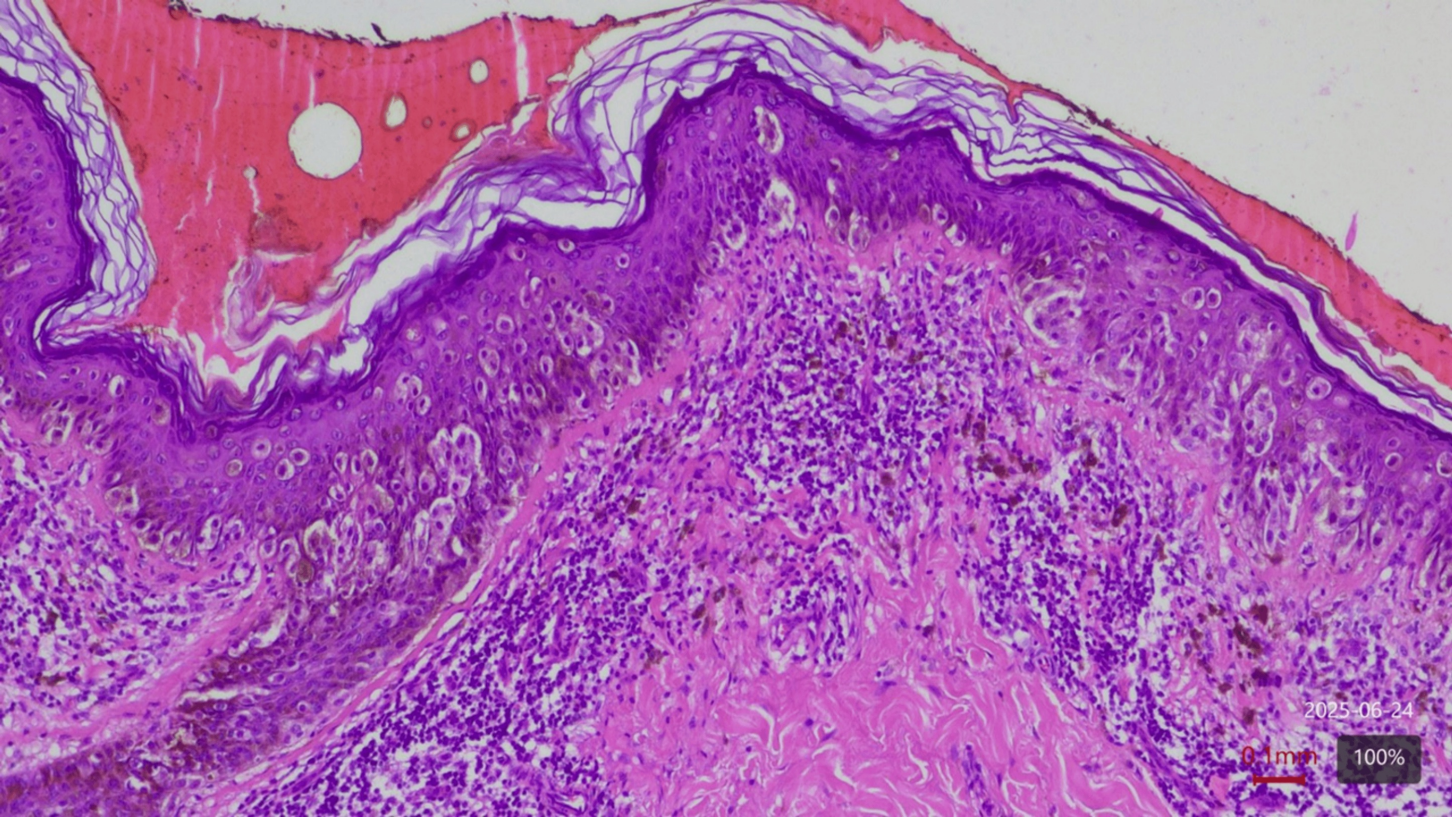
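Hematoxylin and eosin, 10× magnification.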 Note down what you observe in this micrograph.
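This is skin with an intact epidermis topped by a layer of flaky keratin and a pink crust, under which large pale melanocytes with clear cytoplasm gather in nests along the junction with the dermis, some scattered higher up in the epidermis. The upper dermis beneath is packed with small round lymphocytes with dark purple nuclei, mixed with scattered cells holding brown pigment, and deeper down pink collagen bundles take over.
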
